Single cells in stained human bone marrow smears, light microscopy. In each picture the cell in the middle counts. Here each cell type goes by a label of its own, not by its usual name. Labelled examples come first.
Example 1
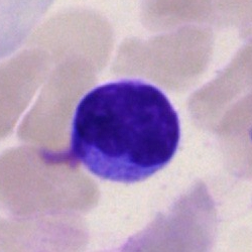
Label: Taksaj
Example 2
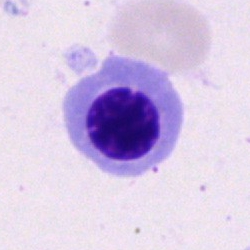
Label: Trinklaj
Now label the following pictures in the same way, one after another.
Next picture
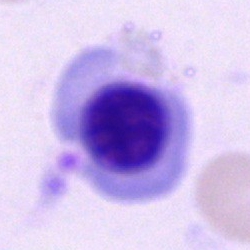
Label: Trinklaj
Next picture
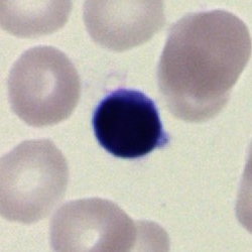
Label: Taksaj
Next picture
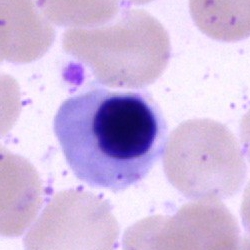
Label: Trinklaj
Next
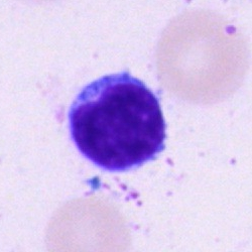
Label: Taksaj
